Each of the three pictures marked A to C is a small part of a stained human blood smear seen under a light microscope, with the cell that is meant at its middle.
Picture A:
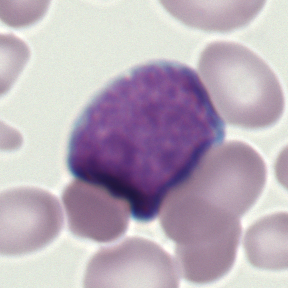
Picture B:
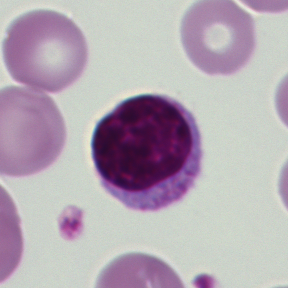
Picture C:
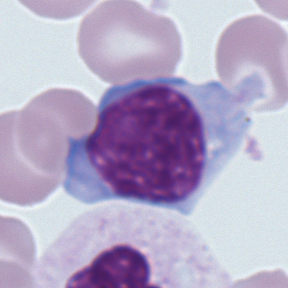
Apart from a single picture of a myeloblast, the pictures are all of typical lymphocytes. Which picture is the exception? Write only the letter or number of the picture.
A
